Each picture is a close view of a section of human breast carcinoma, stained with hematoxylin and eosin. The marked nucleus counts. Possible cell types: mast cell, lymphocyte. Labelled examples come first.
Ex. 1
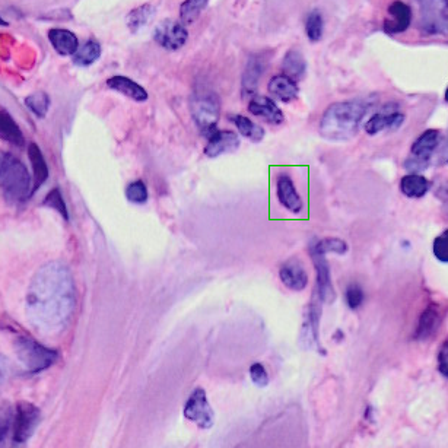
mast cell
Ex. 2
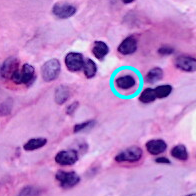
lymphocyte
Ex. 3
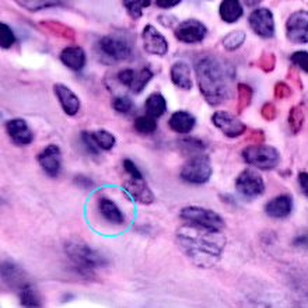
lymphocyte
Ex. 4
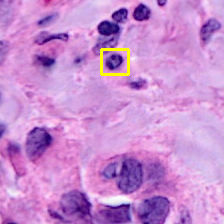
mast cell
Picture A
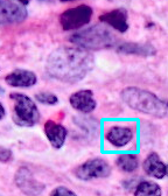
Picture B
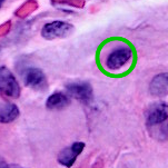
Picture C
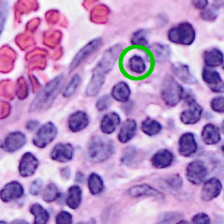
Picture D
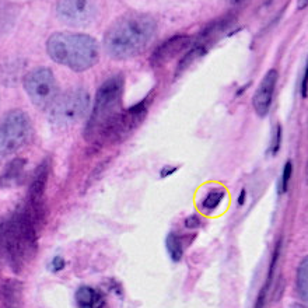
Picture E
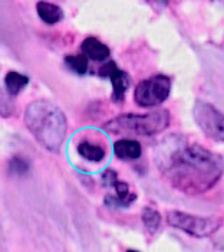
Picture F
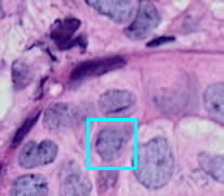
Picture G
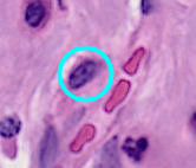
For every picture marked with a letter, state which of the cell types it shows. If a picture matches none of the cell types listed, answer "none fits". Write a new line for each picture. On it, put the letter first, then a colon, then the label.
A: lymphocyte
B: mast cell
C: lymphocyte
D: mast cell
E: lymphocyte
F: none fits
G: mast cell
